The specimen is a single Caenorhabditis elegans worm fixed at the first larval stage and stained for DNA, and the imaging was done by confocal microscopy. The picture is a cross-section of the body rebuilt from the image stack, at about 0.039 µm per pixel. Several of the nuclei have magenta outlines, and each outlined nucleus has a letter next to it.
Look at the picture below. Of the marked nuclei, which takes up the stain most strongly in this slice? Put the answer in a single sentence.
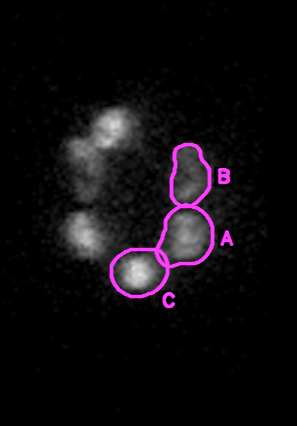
C is the most strongly stained.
